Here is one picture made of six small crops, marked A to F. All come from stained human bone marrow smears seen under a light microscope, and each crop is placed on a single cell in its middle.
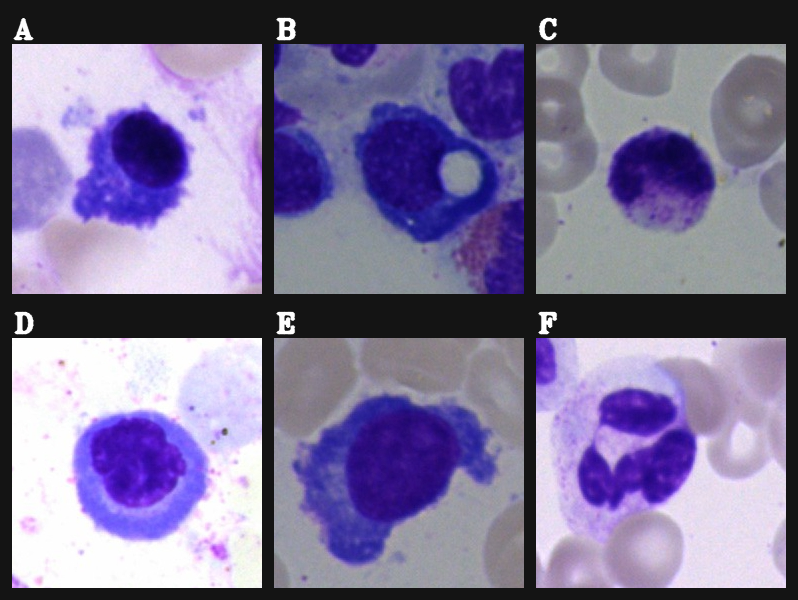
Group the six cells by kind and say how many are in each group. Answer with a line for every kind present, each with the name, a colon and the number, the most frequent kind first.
plasma cell: 4
segmented neutrophil: 2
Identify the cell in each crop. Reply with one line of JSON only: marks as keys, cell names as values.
{"A": "plasma cell", "B": "plasma cell", "C": "segmented neutrophil", "D": "plasma cell", "E": "plasma cell", "F": "segmented neutrophil"}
